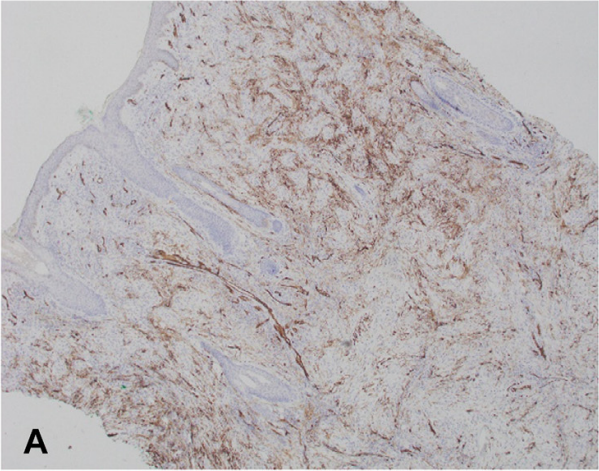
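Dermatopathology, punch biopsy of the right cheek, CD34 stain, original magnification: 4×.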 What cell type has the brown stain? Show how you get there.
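Fibroblasts. Brown-stained slender spindle-shaped and branching cells are spread densely through the dermis. The overlying epidermis and the hair follicles are unstained.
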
